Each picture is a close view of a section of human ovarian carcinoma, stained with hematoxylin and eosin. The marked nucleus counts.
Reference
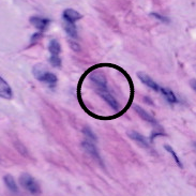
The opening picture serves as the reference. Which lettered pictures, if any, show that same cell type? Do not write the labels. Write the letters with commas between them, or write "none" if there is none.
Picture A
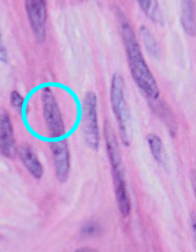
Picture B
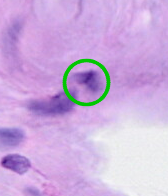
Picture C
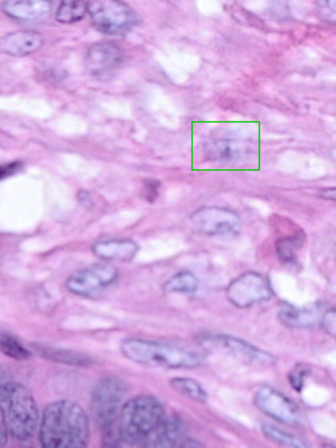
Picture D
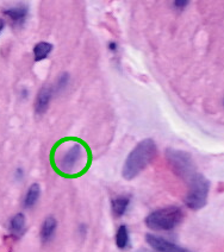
A, D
